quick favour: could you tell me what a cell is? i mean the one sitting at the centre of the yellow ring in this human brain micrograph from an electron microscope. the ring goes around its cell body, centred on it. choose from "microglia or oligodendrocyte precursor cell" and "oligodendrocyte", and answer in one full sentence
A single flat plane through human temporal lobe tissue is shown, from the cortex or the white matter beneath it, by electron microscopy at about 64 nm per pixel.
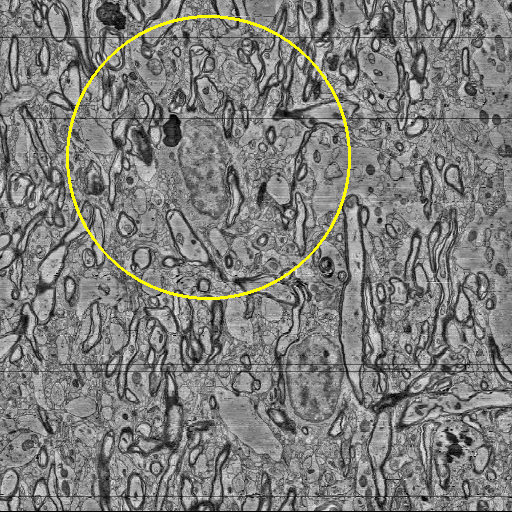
That's an oligodendrocyte, the cell sitting at the centre of the yellow ring.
